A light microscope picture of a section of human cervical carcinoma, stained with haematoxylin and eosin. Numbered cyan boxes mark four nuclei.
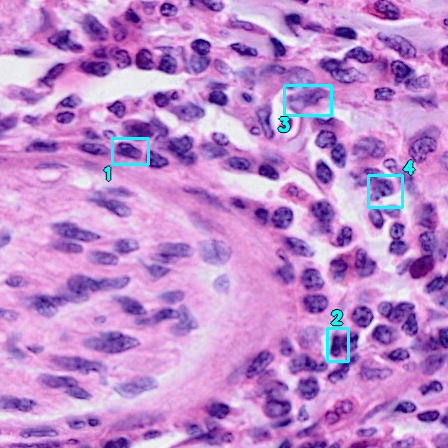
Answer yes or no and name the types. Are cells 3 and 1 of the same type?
No, cell 3 is an endothelial cell and cell 1 is a lymphocyte.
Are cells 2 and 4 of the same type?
Yes, both are lymphocytes.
